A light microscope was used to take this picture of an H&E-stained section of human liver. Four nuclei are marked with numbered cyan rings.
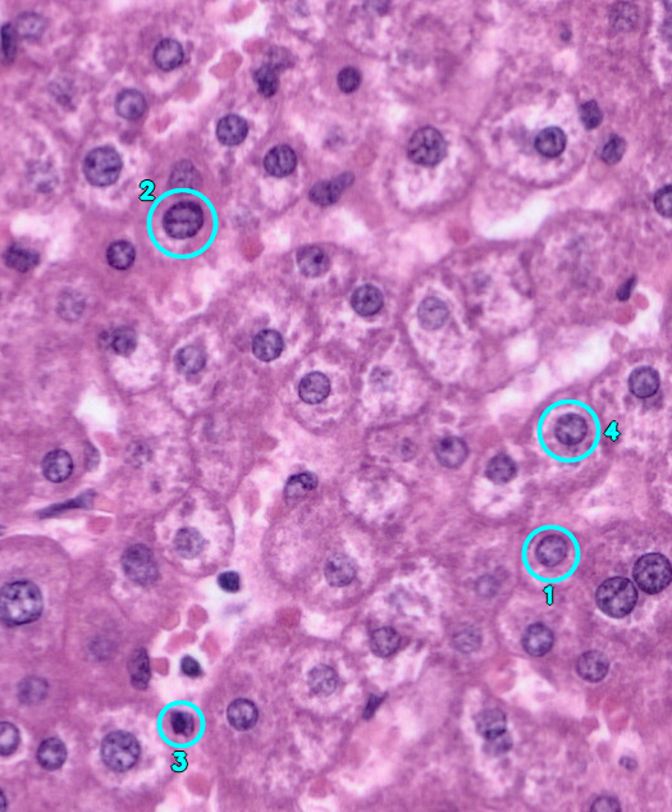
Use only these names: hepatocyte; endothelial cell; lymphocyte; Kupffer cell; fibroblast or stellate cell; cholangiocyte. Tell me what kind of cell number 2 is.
hepatocyte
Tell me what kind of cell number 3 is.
fibroblast or stellate cell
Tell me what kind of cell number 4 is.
hepatocyte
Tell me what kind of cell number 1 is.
hepatocyte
